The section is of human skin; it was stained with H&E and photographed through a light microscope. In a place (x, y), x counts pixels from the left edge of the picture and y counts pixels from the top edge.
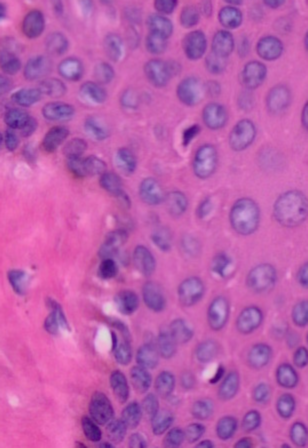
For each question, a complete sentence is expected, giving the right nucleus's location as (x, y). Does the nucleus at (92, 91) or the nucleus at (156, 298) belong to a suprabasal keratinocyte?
Among the two nuclei, the one found at (92, 91) belongs to a suprabasal keratinocyte.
